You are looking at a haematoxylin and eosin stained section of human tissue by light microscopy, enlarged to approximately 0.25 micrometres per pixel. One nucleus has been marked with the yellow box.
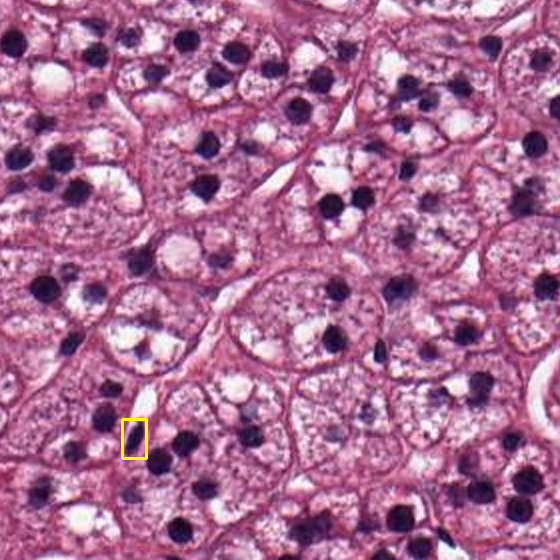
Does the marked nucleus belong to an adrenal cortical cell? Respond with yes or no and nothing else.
no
